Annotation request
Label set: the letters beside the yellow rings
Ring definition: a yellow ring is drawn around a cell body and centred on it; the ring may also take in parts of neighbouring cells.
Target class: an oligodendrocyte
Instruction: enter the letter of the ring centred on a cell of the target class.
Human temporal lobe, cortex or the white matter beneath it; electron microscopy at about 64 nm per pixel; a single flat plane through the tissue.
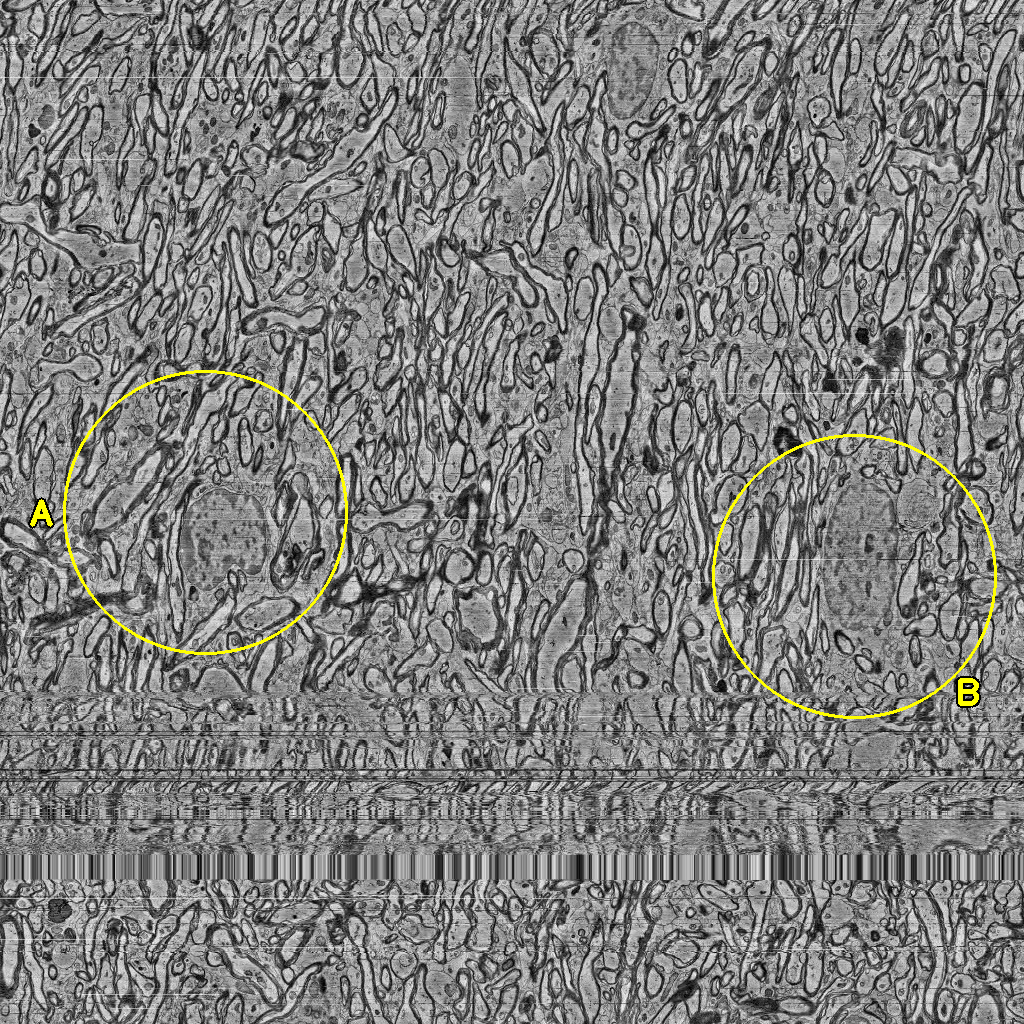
B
